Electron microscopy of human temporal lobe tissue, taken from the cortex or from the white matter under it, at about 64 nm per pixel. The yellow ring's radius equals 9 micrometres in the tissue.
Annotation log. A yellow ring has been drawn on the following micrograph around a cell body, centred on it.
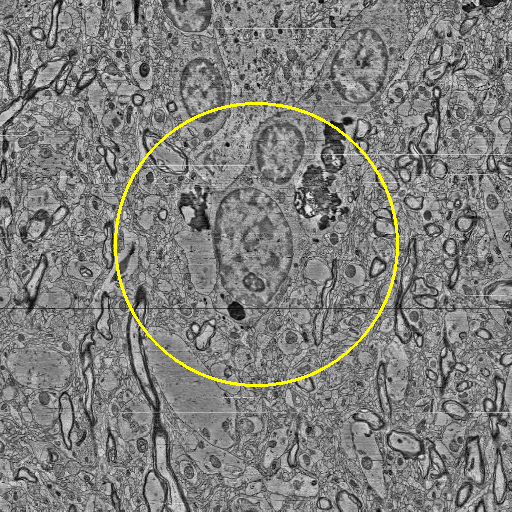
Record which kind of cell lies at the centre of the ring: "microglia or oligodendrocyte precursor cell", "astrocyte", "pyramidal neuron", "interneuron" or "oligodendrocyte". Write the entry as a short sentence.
The cell the ring is centred on is an oligodendrocyte.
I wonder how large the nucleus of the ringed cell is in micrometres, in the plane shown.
About 7 micrometres by about 5 micrometres in this plane.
